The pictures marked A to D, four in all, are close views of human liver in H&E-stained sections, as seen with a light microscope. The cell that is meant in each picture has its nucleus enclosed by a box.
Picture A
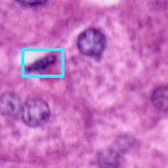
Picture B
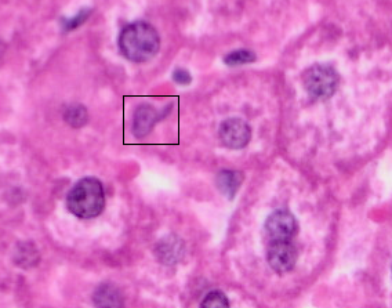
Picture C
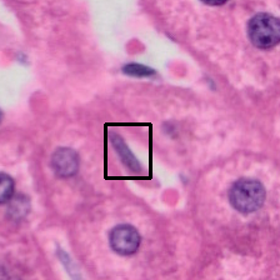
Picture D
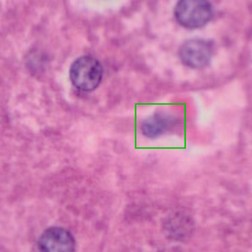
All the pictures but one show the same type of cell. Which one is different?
A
